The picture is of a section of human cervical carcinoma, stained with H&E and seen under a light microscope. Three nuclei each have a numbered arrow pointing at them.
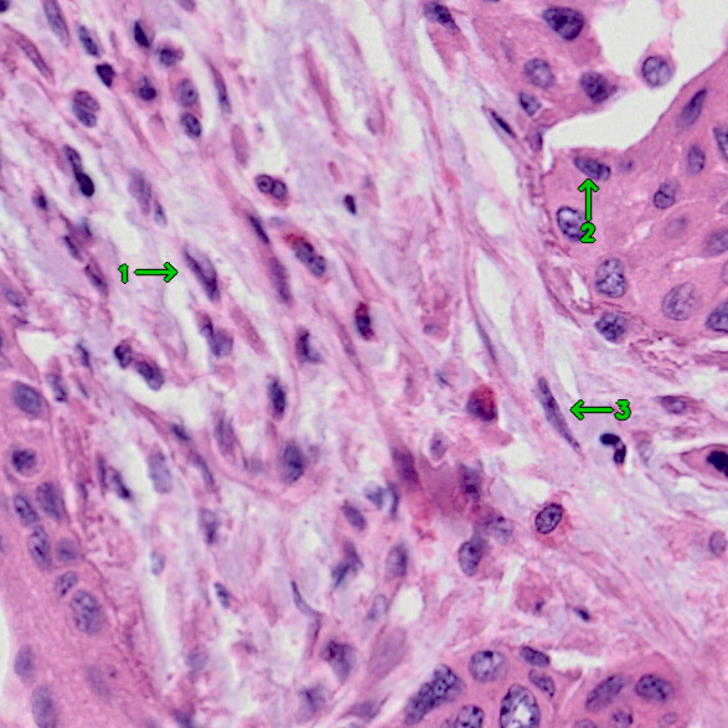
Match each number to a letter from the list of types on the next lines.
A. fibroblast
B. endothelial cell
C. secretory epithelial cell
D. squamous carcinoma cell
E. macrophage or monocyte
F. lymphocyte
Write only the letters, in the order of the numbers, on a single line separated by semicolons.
A; D; A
